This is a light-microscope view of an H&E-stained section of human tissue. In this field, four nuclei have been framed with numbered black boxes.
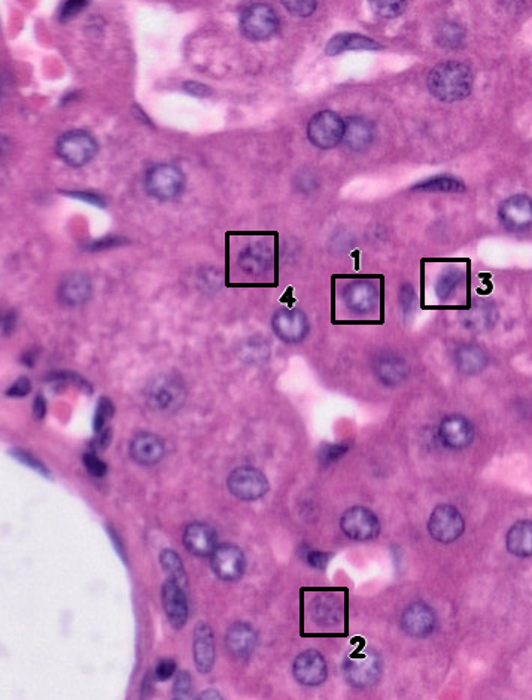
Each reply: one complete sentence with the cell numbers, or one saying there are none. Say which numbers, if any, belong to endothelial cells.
Among the cells marked with numbers, the only one that is an endothelial cell is number 3.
